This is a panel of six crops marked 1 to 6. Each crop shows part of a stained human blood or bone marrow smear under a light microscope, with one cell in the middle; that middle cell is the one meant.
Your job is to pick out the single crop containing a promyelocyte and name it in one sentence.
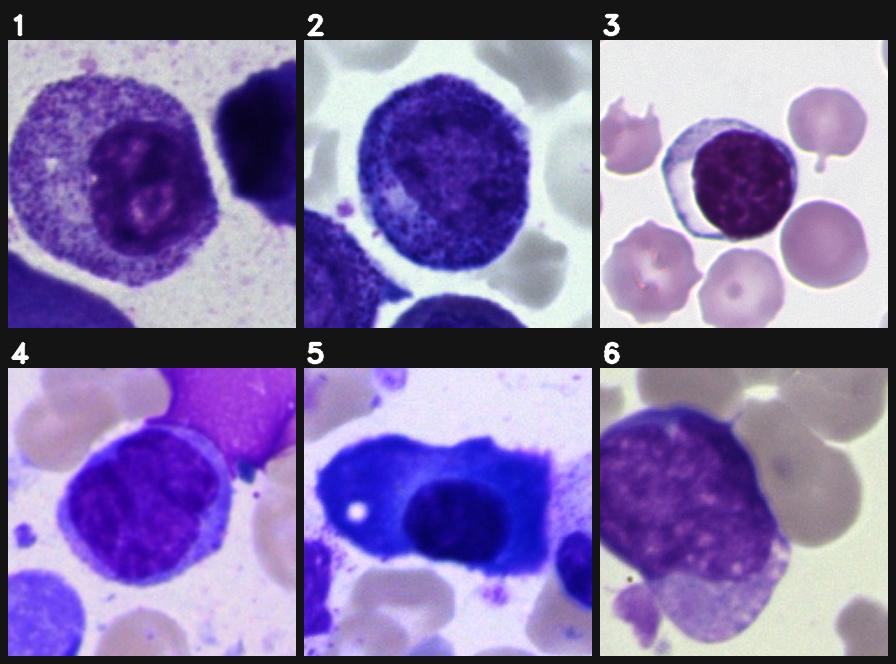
The one crop in the set with a promyelocyte is crop 2.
